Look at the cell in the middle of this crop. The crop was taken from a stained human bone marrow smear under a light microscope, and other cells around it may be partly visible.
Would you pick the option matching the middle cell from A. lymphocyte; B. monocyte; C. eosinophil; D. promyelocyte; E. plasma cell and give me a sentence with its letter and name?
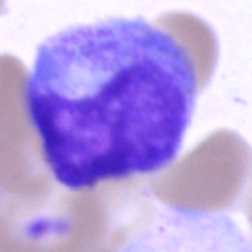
As the central cell is a promyelocyte, option D is correct.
